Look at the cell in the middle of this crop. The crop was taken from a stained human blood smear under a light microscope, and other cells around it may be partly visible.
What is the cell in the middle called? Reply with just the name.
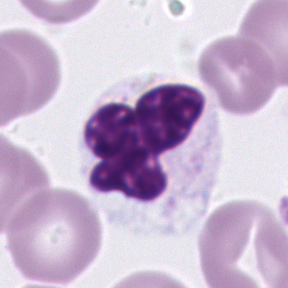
segmented neutrophil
